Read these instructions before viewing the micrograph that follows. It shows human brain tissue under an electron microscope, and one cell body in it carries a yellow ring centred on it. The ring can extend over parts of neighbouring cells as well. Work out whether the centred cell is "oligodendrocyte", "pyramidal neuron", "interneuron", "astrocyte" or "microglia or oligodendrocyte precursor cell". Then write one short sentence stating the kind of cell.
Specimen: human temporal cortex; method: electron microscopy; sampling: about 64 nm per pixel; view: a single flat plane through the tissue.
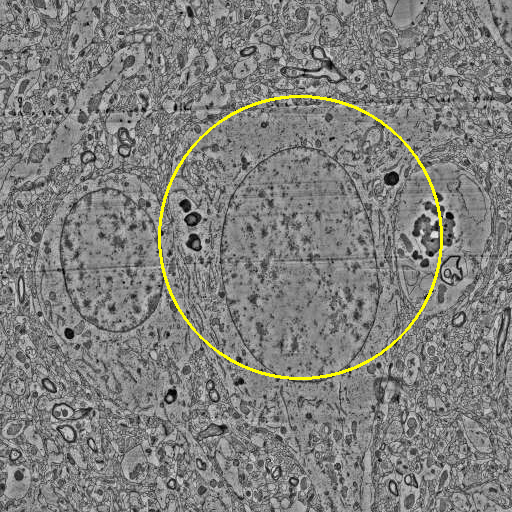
The ringed cell is a pyramidal neuron.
